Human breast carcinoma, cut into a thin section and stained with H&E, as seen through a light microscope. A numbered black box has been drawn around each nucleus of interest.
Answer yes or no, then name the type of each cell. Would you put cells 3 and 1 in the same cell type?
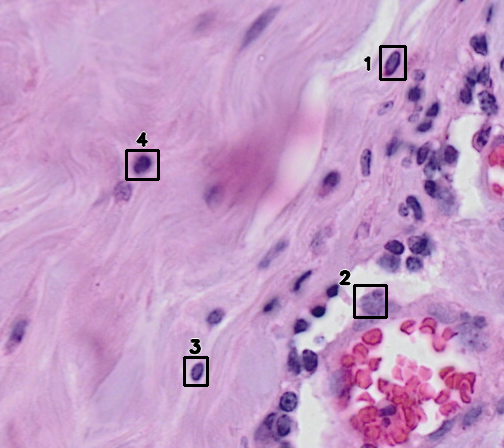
Yes, of the numbered cells, 3 and 1 are both lymphocytes.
